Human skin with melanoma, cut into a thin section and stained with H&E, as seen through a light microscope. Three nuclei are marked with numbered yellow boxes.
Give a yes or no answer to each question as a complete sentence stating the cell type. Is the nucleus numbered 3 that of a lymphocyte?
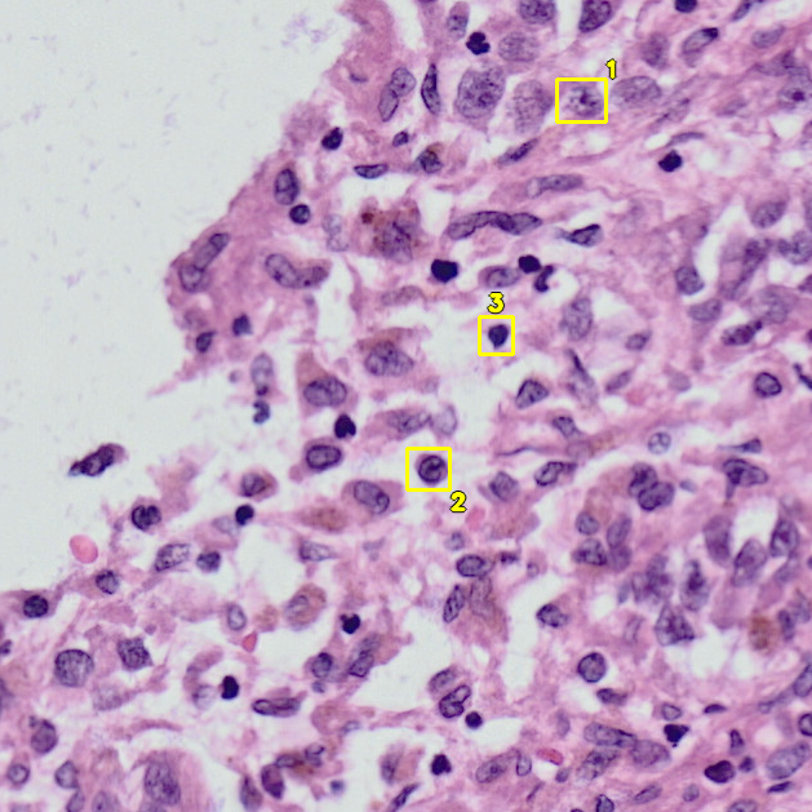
Yes, the cell numbered 3 in this tissue is a lymphocyte.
